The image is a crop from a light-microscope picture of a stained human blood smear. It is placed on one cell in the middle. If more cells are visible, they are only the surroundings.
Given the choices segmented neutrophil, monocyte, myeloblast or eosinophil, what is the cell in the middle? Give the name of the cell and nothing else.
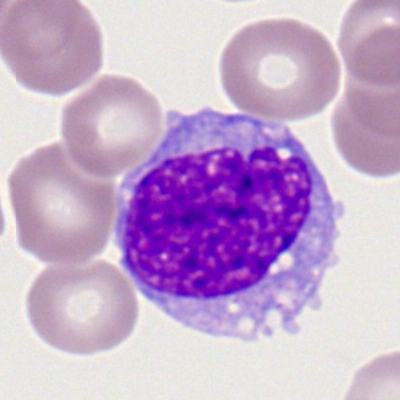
monocyte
